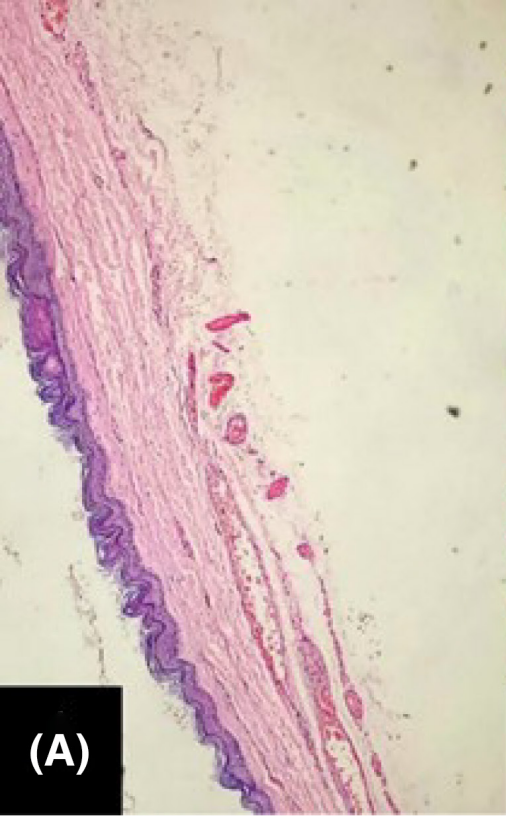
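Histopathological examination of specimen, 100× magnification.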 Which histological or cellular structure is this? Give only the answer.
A: Cyst wall.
